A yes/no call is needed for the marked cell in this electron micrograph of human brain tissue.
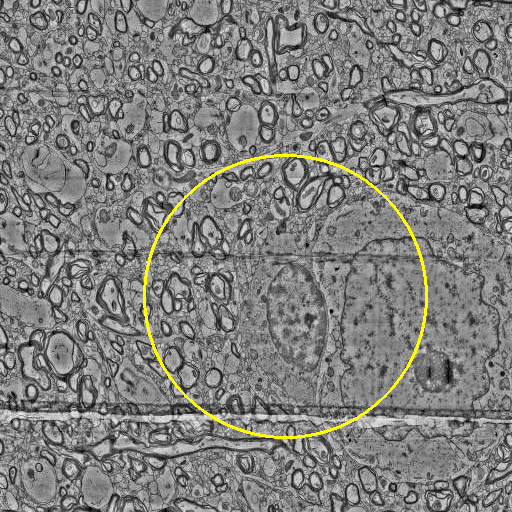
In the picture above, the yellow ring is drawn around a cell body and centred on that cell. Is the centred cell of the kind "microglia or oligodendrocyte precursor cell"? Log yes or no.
no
